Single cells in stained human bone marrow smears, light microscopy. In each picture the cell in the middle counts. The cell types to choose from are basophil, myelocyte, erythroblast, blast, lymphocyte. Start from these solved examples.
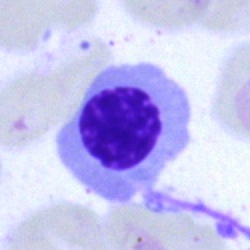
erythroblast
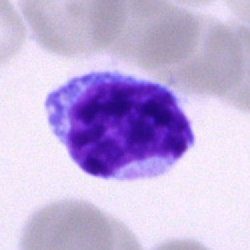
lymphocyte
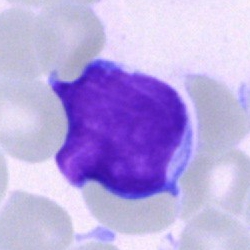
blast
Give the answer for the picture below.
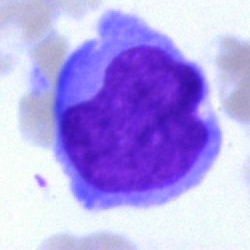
blast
